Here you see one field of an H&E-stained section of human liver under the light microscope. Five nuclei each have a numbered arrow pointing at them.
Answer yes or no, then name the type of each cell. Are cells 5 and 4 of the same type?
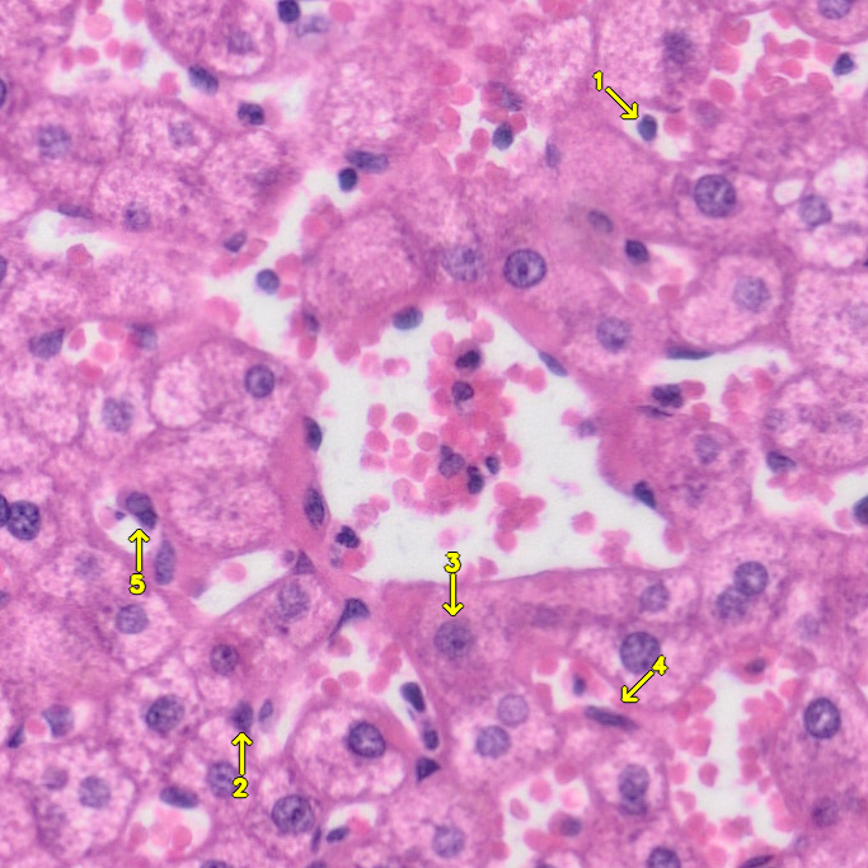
Yes, regarding cells 5 and 4, both are Kupffer cells.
